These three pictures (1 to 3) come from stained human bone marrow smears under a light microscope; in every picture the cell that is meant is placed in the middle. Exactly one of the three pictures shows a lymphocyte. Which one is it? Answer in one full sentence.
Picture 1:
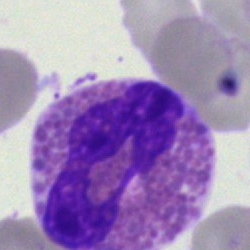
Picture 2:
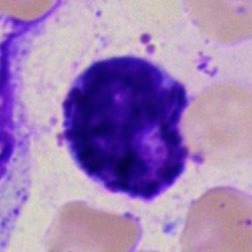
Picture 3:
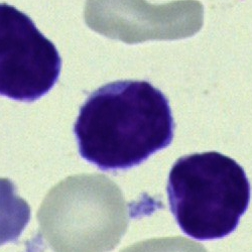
The cell in picture 3 is the lymphocyte.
